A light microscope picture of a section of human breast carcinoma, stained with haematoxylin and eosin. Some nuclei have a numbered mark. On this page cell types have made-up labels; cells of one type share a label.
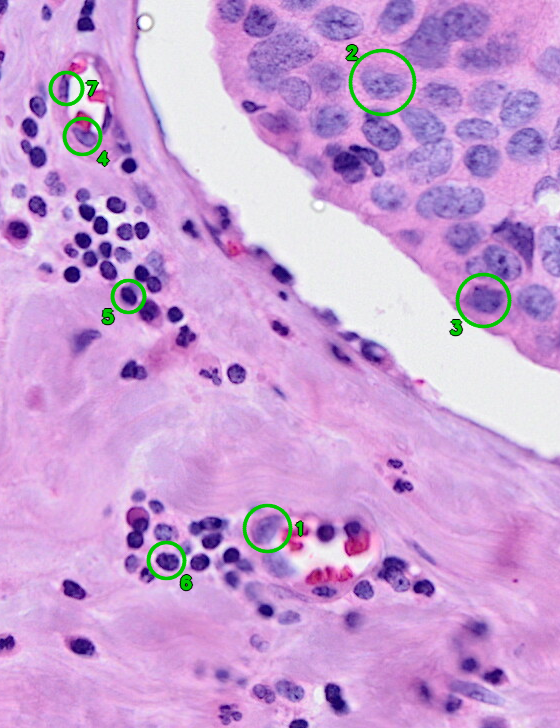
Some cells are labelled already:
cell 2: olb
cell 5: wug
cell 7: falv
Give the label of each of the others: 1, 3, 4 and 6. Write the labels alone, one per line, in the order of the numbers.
falv
olb
falv
wug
